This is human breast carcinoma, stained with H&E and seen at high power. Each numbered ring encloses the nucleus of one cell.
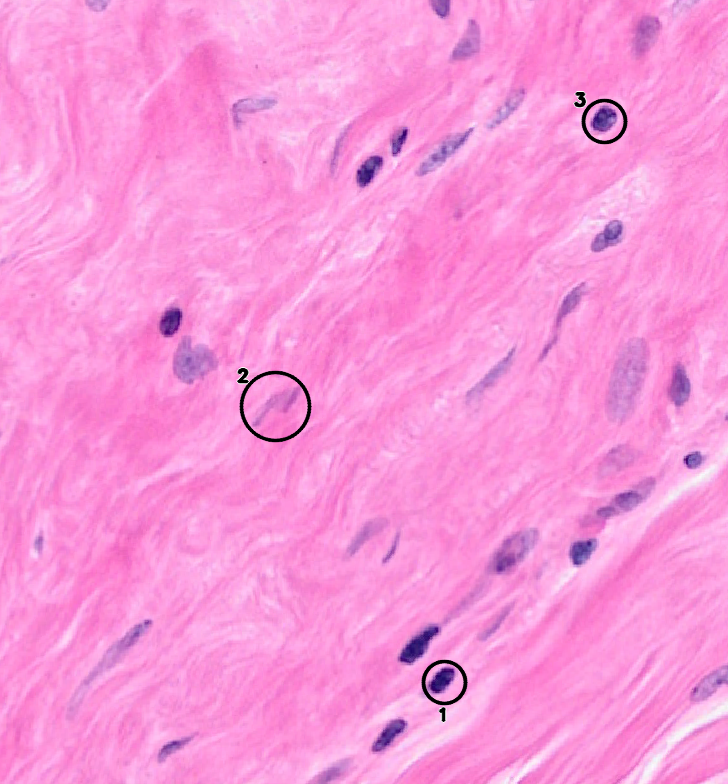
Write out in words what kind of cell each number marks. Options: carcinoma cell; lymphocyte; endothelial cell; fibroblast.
Cell 1 is a lymphocyte, cell 2 is a fibroblast and cell 3 is a lymphocyte.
